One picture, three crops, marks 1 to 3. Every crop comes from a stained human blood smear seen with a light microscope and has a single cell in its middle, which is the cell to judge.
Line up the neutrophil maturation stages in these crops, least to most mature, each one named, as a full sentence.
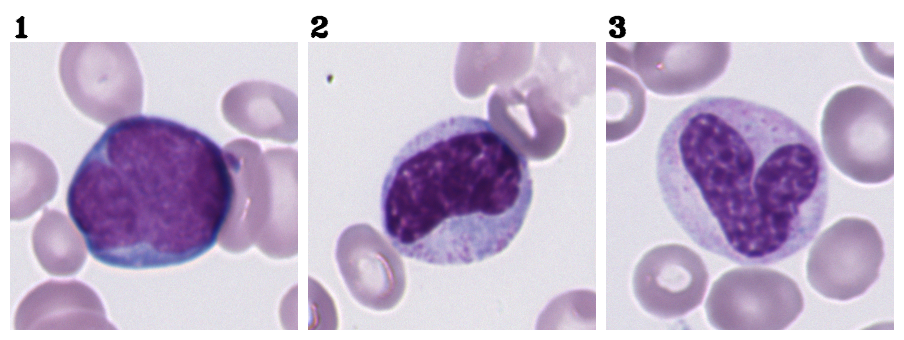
In ascending order of maturity, the sequence is crop 1 (a myeloblast), crop 2 (a metamyelocyte) and crop 3 (a band neutrophil).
